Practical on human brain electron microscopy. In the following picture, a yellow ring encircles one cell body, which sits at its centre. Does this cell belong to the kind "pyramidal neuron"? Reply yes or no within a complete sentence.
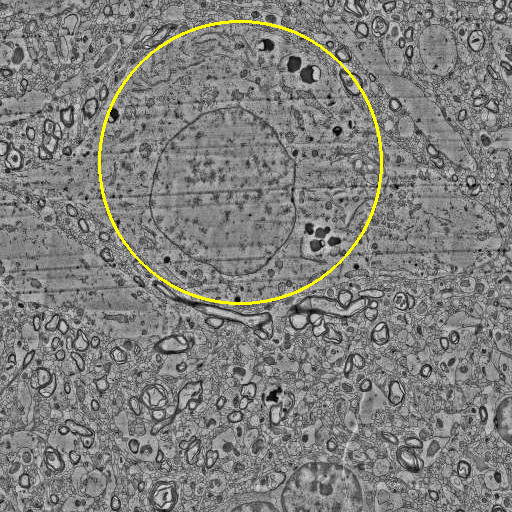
Yes, the one cell at the centre of the ring here is of that kind.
